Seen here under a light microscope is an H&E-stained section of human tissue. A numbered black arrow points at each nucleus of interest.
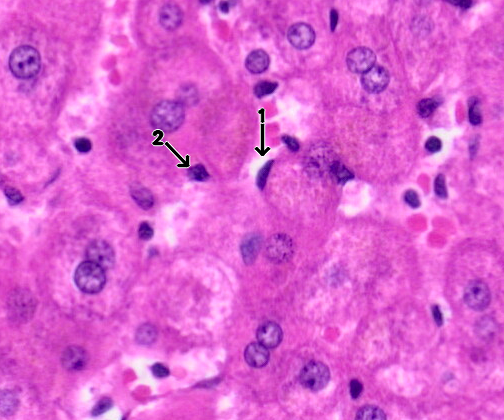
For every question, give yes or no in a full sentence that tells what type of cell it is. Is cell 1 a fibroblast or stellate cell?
No, number 1 identifies an endothelial cell, not a fibroblast or stellate cell.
